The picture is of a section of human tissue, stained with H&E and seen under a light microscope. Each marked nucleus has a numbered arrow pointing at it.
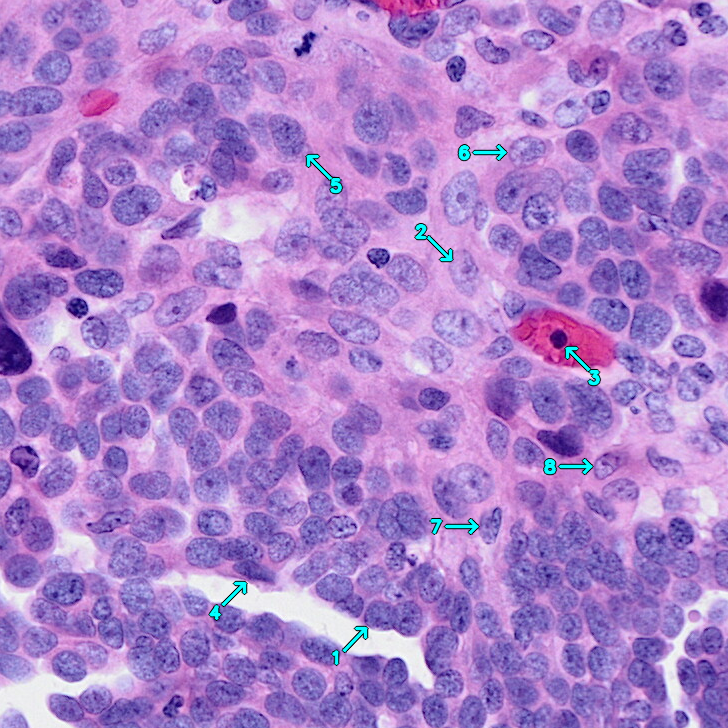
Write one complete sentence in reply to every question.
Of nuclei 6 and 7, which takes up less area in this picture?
With nucleus 6 about 1.5 times its size, nucleus 7 is the smaller of the two.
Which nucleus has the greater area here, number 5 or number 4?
The larger nucleus is 5, at roughly 2.5 times the area of 4.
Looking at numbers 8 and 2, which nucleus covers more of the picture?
Of the two, number 2 is bigger and takes up about 1.5 times the area of number 8.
